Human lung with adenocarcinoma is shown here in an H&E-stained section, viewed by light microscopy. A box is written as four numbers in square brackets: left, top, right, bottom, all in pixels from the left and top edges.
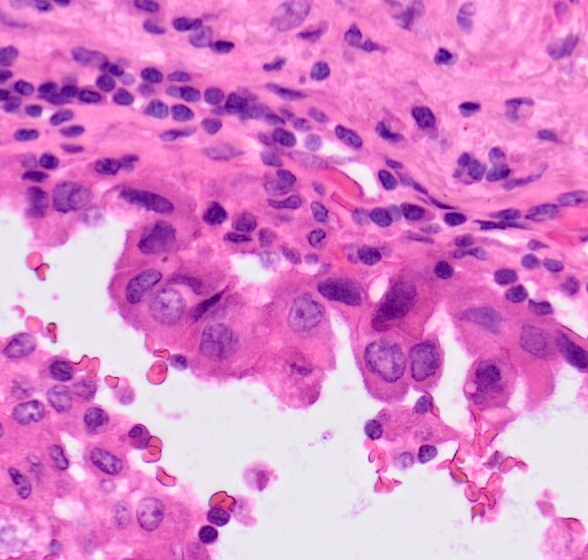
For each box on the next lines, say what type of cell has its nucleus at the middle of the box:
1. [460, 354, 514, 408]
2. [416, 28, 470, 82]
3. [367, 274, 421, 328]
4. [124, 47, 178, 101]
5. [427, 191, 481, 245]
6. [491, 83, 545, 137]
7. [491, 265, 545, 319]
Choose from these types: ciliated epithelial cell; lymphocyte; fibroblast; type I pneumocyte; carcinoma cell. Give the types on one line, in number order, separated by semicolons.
carcinoma cell; lymphocyte; carcinoma cell; lymphocyte; lymphocyte; fibroblast; lymphocyte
